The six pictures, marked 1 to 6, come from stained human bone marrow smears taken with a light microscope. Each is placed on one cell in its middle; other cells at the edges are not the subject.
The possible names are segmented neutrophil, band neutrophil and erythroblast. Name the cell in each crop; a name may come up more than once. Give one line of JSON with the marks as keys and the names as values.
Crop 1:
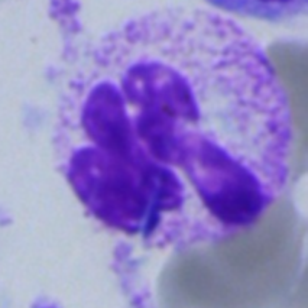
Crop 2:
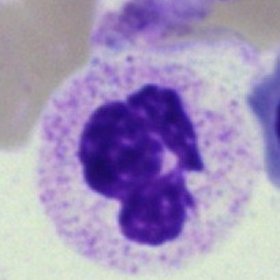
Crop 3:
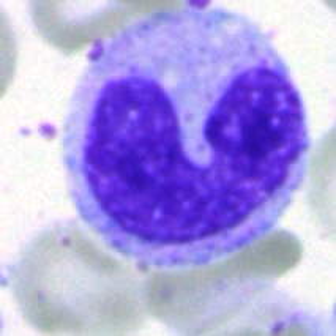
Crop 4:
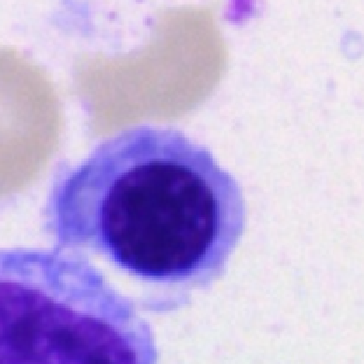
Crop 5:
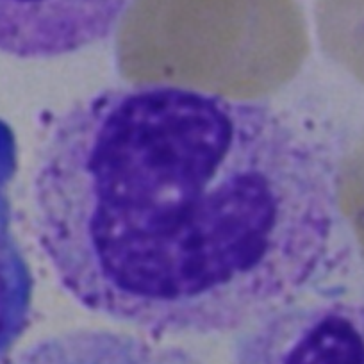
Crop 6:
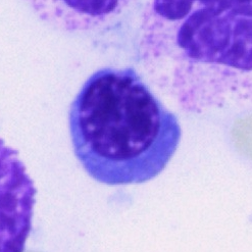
{"1": "segmented neutrophil", "2": "segmented neutrophil", "3": "band neutrophil", "4": "erythroblast", "5": "band neutrophil", "6": "erythroblast"}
